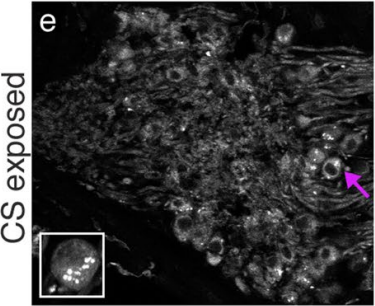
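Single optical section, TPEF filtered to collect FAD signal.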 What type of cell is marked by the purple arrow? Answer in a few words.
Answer: Neuron.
